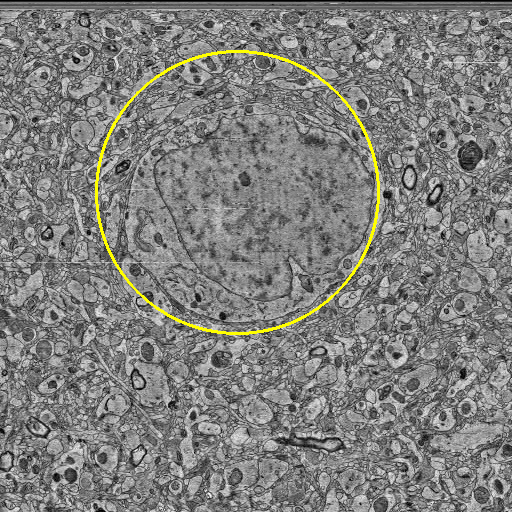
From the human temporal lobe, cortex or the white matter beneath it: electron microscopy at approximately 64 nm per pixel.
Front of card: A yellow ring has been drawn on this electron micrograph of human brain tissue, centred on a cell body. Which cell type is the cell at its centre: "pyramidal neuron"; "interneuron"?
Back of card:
interneuron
